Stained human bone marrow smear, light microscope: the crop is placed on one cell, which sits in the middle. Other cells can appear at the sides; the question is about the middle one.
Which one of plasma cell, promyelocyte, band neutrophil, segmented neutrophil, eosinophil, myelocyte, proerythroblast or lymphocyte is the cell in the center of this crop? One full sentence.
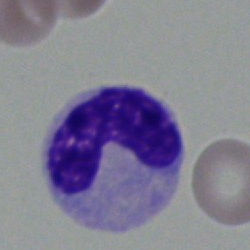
The target cell in the middle of the crop is a band neutrophil.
